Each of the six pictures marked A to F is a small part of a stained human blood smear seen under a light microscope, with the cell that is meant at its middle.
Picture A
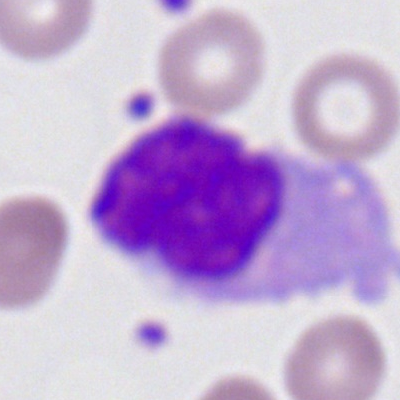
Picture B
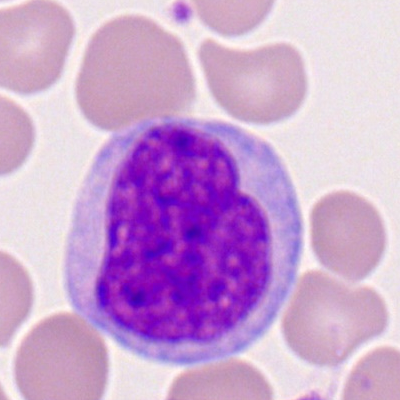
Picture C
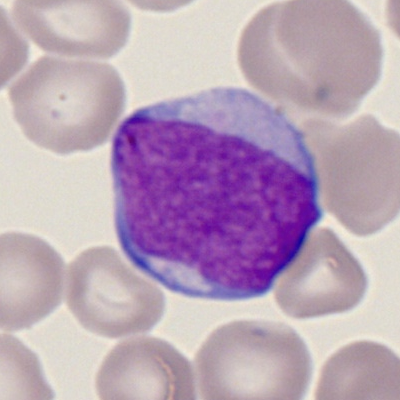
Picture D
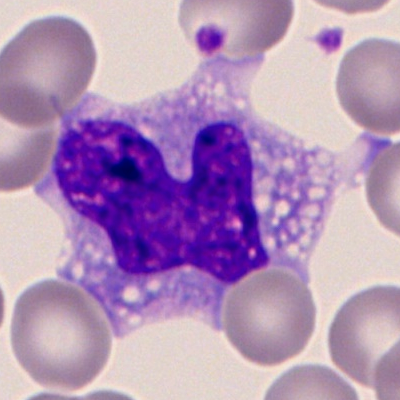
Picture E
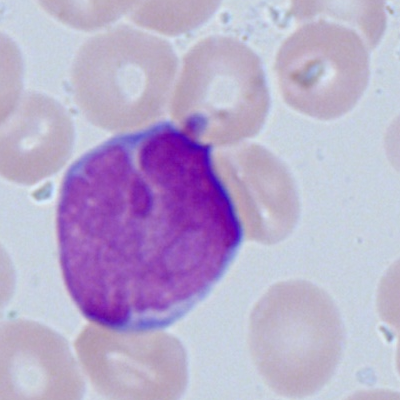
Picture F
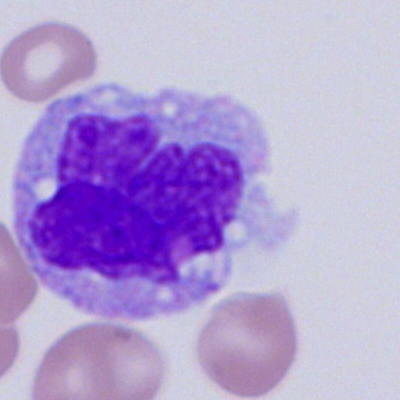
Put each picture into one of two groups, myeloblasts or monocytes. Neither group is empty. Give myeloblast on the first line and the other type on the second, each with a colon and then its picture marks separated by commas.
myeloblast: C, E
monocyte: A, B, D, F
